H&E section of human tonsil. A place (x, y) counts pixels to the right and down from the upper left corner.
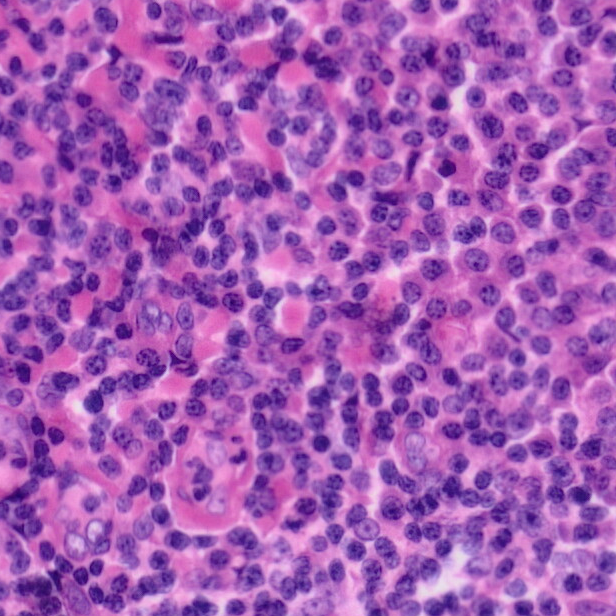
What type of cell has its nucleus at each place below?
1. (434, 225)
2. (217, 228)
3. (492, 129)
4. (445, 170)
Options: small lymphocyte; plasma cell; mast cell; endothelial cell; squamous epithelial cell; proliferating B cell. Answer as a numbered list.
1. plasma cell
2. small lymphocyte
3. plasma cell
4. plasma cell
